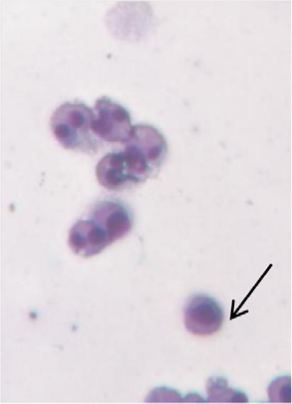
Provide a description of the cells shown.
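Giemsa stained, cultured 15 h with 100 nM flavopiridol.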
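Cytospin of neutrophils, some still showing lobed purple nuclei in pale lilac cytoplasm and grouped together. One separate cell is smaller and round, with a single dense, dark, rounded nucleus and a thin rim of cytoplasm, the look of an apoptotic neutrophil.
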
